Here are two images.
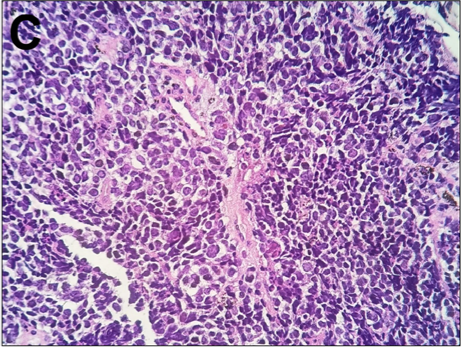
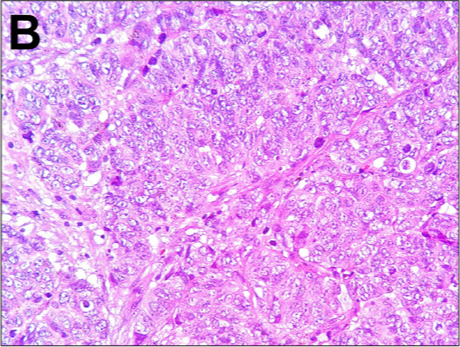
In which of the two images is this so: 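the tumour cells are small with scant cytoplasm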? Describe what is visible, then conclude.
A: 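Second image: large cells with ample pale pink cytoplasm around pale nuclei. First image: small crowded cells with dark nuclei and hardly any cytoplasm.
Hence: the first image.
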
